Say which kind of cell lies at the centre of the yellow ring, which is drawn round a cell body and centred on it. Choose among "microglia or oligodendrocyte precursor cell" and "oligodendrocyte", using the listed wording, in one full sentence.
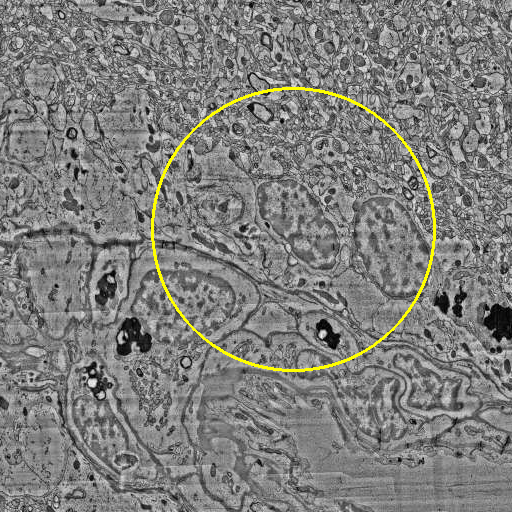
Going by the list, the cell at the yellow ring's centre is a microglial cell or oligodendrocyte precursor cell.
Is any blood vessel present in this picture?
Yes, the picture includes a blood vessel.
